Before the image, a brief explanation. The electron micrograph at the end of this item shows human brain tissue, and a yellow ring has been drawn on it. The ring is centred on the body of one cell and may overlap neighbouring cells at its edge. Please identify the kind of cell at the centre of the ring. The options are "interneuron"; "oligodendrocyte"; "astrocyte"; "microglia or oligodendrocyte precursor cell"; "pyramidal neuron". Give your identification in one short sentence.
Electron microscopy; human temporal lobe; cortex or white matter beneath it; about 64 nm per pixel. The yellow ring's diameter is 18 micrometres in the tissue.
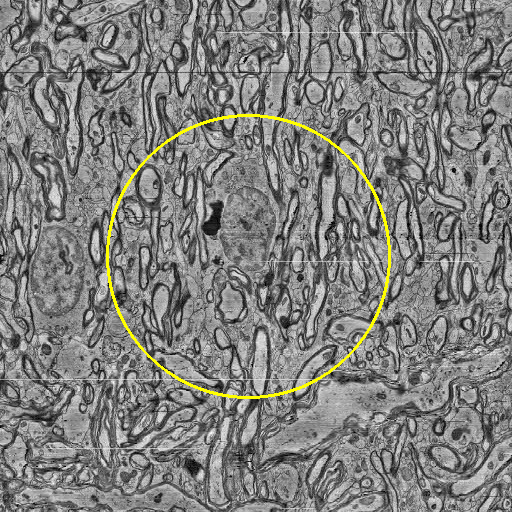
The ring has been placed around an oligodendrocyte.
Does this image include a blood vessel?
No, no blood vessel can be seen.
